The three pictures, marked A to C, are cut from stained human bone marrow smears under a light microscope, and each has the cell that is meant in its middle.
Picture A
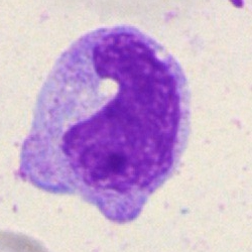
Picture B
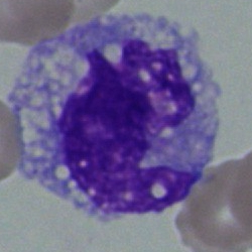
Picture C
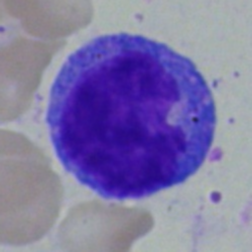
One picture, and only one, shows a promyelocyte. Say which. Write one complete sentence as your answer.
The promyelocyte is the one in picture C.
